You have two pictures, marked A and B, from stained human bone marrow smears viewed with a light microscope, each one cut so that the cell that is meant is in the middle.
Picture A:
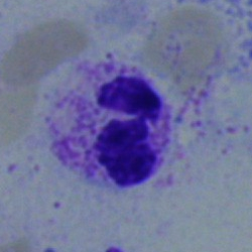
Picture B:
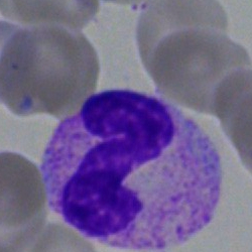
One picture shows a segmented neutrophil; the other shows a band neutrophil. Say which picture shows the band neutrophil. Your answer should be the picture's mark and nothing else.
B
